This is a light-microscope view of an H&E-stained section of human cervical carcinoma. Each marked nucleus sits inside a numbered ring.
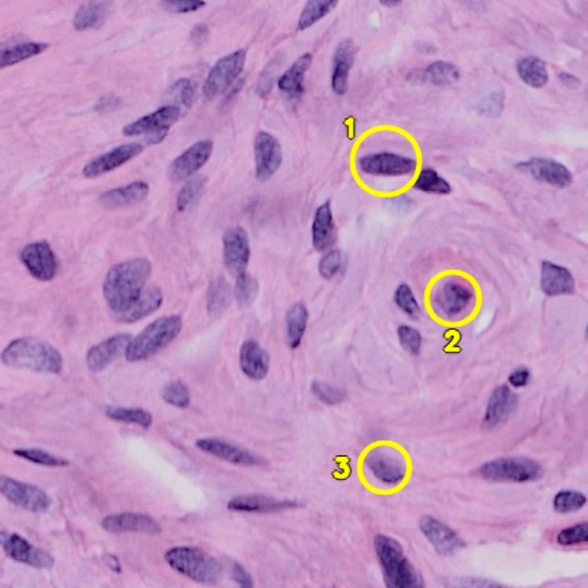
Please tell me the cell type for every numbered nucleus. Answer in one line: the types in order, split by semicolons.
fibroblast; endothelial cell; fibroblast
